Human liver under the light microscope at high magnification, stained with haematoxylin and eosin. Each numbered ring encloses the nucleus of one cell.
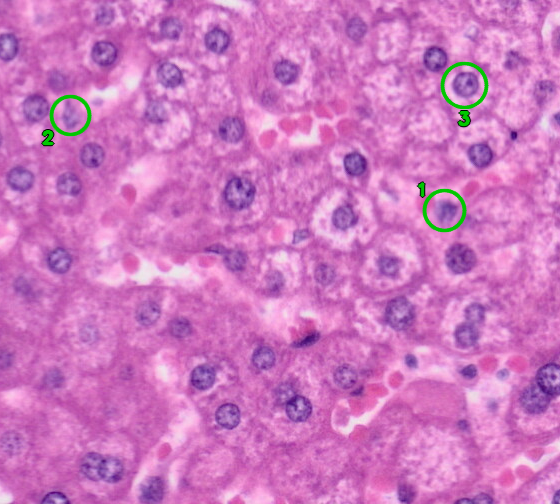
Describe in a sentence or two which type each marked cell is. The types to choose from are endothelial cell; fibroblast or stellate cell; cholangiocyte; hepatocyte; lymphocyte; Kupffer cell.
Cell 1 is an endothelial cell, cell 2 is an endothelial cell and cell 3 is a hepatocyte.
